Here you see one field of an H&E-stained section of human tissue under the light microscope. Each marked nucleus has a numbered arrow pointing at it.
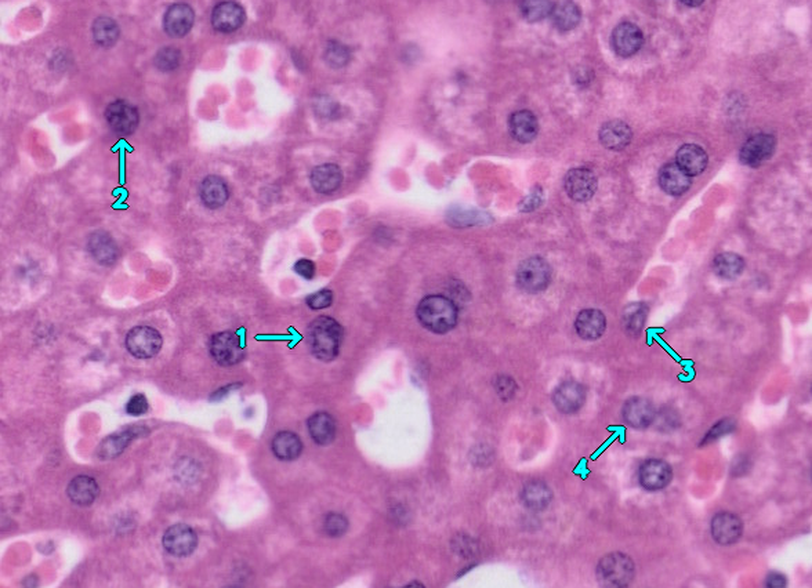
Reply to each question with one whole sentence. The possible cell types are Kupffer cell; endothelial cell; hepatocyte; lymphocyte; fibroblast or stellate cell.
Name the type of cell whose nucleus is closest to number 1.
The nucleus nearest to number 1 is that of a fibroblast or stellate cell.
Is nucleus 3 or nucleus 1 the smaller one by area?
Number 3 is smaller, since number 1 takes up about 1.5 times as much area.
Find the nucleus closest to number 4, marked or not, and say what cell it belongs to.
Closest to number 4 lies the nucleus of a hepatocyte.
